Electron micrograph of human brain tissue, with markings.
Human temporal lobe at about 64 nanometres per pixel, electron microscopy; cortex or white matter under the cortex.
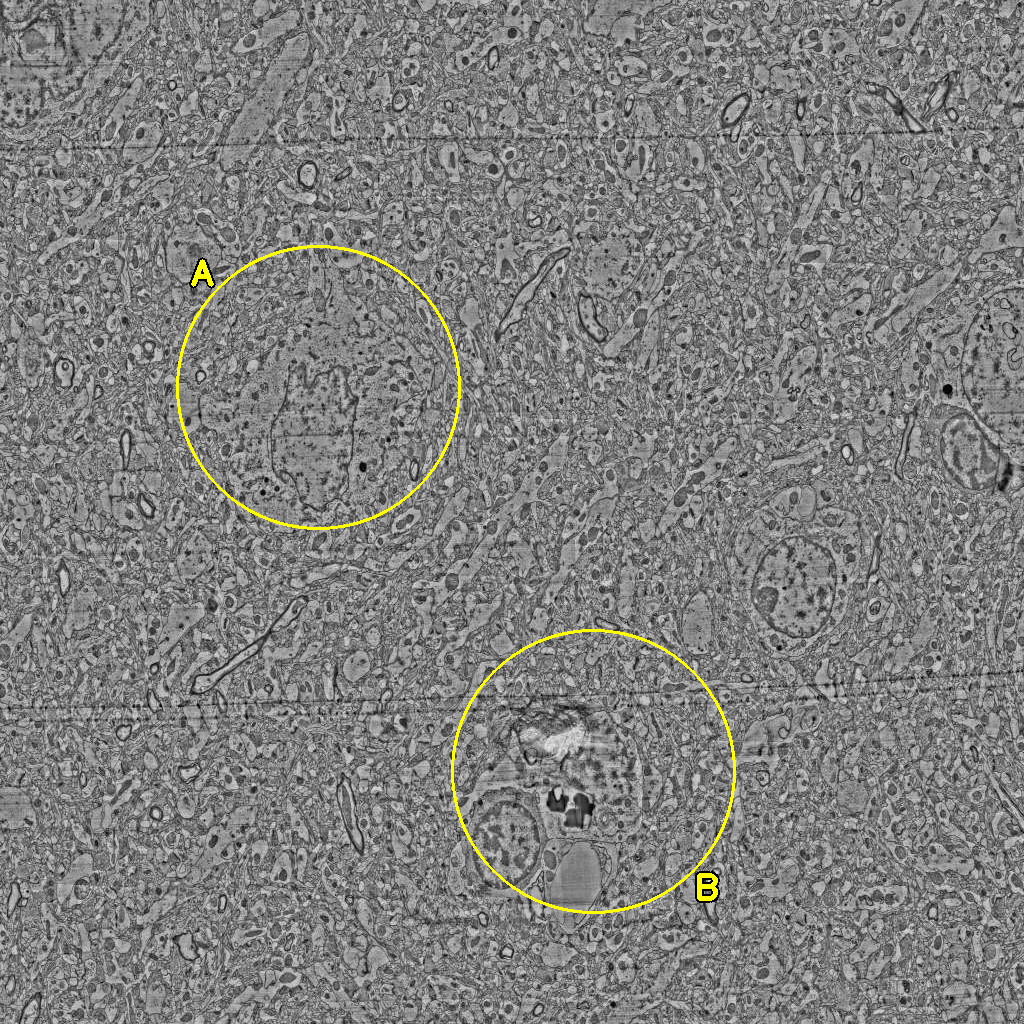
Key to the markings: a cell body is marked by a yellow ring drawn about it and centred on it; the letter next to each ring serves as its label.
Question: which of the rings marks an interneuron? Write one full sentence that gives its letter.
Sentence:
In this picture, the ring marking that kind of cell has the letter B.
